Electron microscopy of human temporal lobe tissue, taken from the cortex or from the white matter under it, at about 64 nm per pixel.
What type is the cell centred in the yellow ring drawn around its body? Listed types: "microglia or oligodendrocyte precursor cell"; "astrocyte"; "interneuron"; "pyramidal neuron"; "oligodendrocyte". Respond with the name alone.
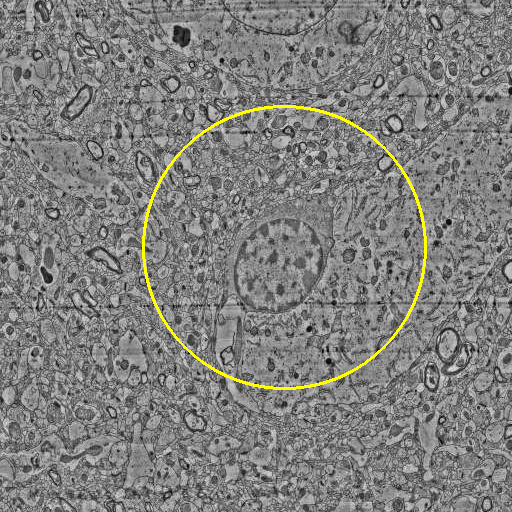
oligodendrocyte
